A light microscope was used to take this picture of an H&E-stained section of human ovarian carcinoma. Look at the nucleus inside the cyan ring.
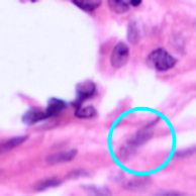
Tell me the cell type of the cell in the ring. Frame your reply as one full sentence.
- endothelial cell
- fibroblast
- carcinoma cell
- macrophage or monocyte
The cell type represented by the cell in the ring is that of a fibroblast.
